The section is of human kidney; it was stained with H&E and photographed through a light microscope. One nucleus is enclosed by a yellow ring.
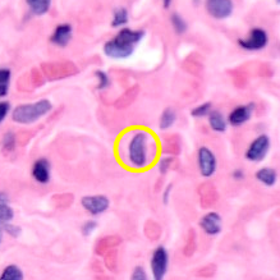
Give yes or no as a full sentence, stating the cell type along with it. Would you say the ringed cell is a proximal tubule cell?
No, the ringed cell is termed an endothelial cell, not a proximal tubule cell.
